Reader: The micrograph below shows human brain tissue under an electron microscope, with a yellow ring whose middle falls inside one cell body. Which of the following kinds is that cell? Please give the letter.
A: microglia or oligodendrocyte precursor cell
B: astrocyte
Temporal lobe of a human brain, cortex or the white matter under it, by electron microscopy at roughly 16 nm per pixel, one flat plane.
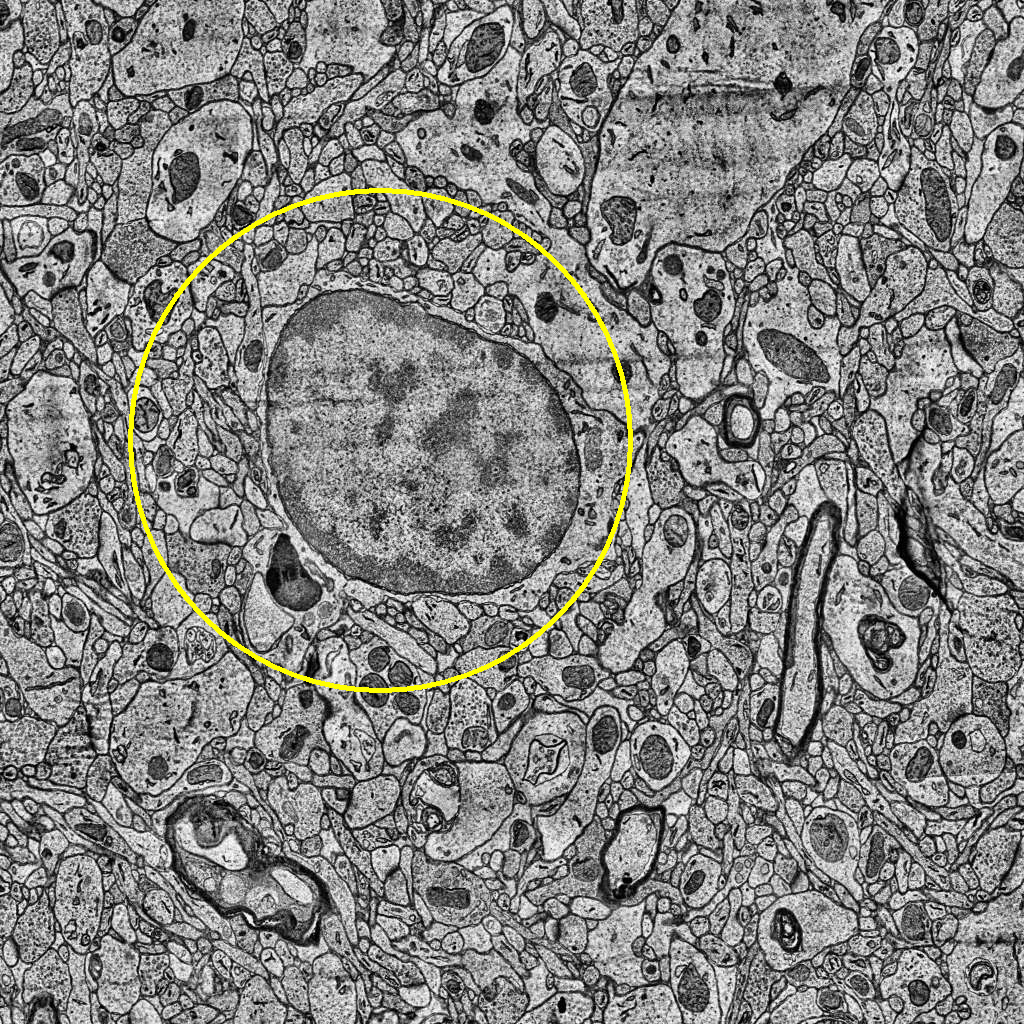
A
